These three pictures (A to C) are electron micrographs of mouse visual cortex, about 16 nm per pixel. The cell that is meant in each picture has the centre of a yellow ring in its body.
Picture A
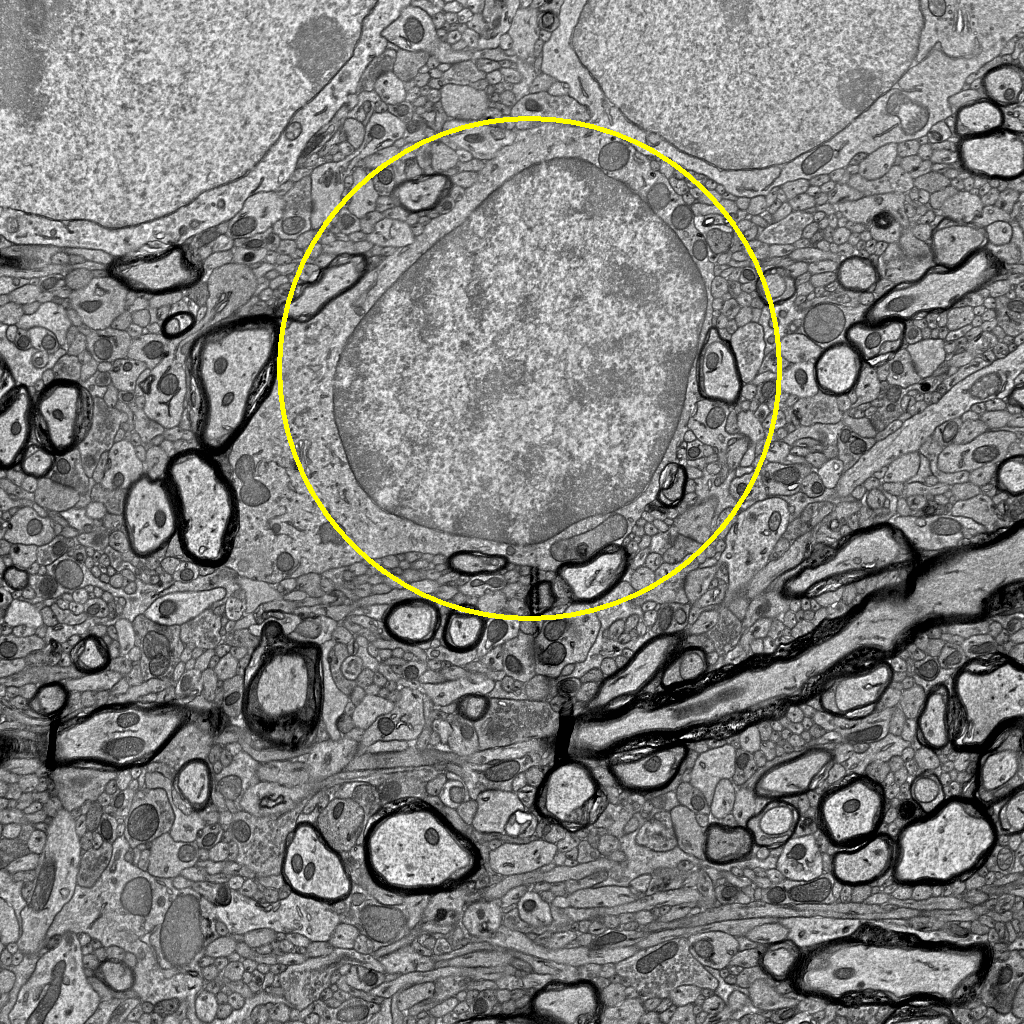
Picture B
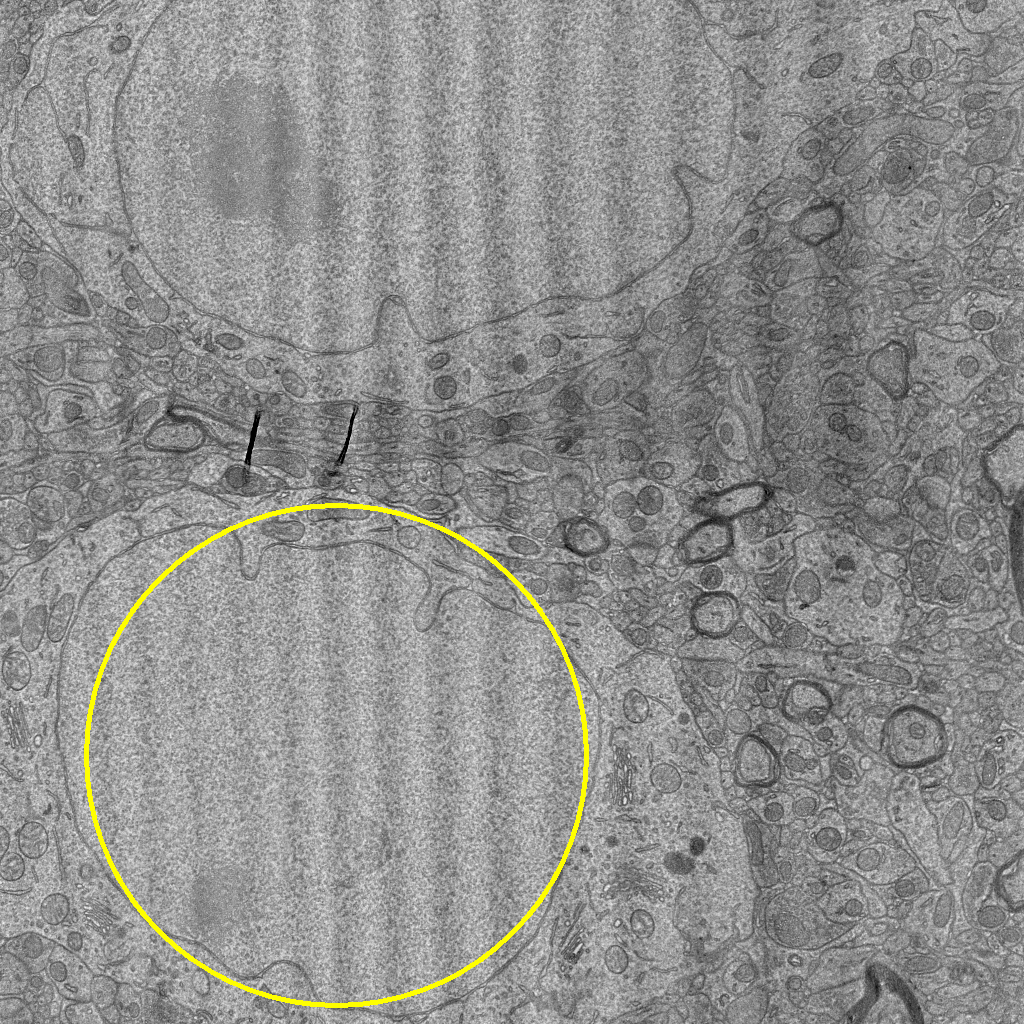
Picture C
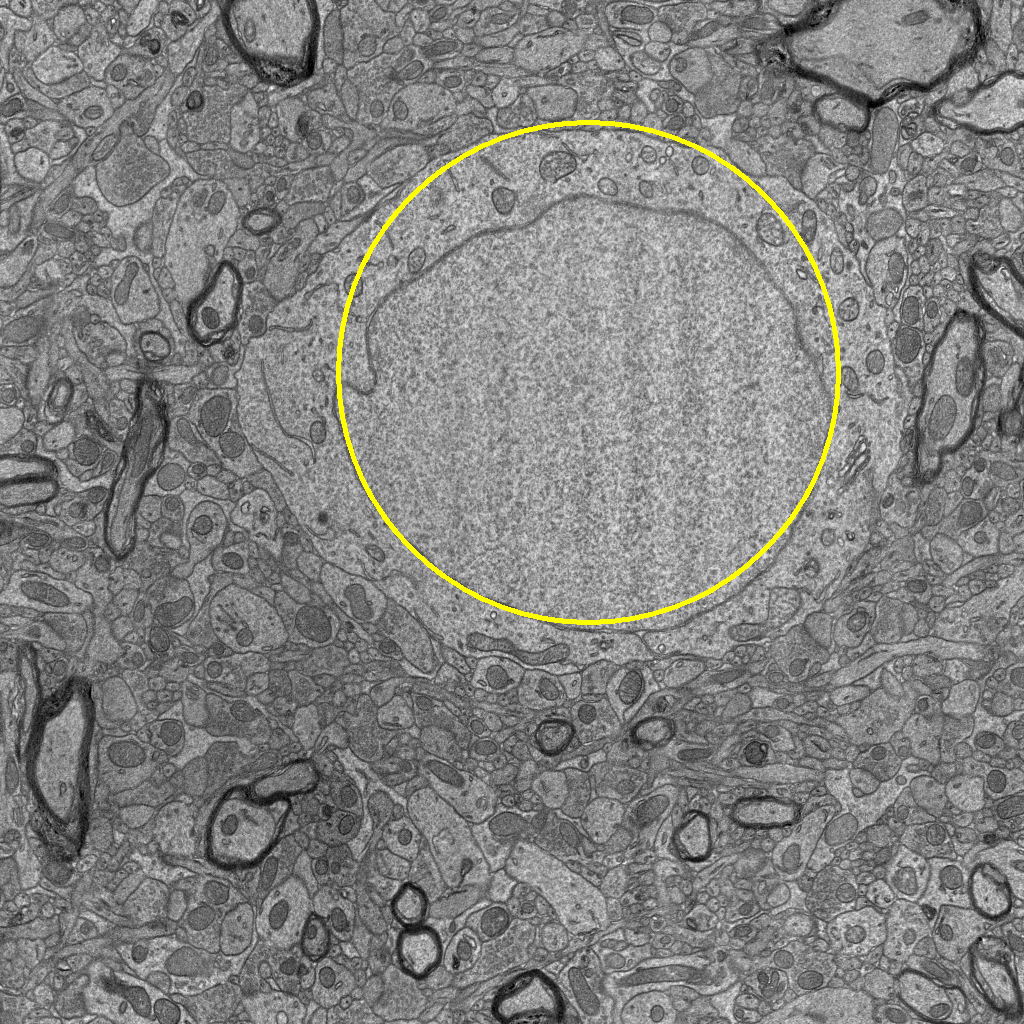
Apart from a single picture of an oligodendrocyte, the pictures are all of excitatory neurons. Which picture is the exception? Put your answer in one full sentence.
Picture A shows the oligodendrocyte.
